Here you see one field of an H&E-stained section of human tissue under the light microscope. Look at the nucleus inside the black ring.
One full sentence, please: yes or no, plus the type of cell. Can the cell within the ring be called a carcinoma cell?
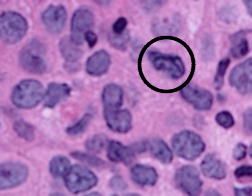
Yes, it is a carcinoma cell that the cell within the ring represents in this section.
